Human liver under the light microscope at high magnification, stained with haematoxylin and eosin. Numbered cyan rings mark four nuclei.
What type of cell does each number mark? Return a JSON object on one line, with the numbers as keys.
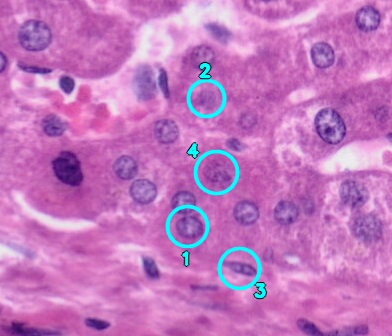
{"1": "hepatocyte", "2": "hepatocyte", "3": "fibroblast or stellate cell", "4": "hepatocyte"}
